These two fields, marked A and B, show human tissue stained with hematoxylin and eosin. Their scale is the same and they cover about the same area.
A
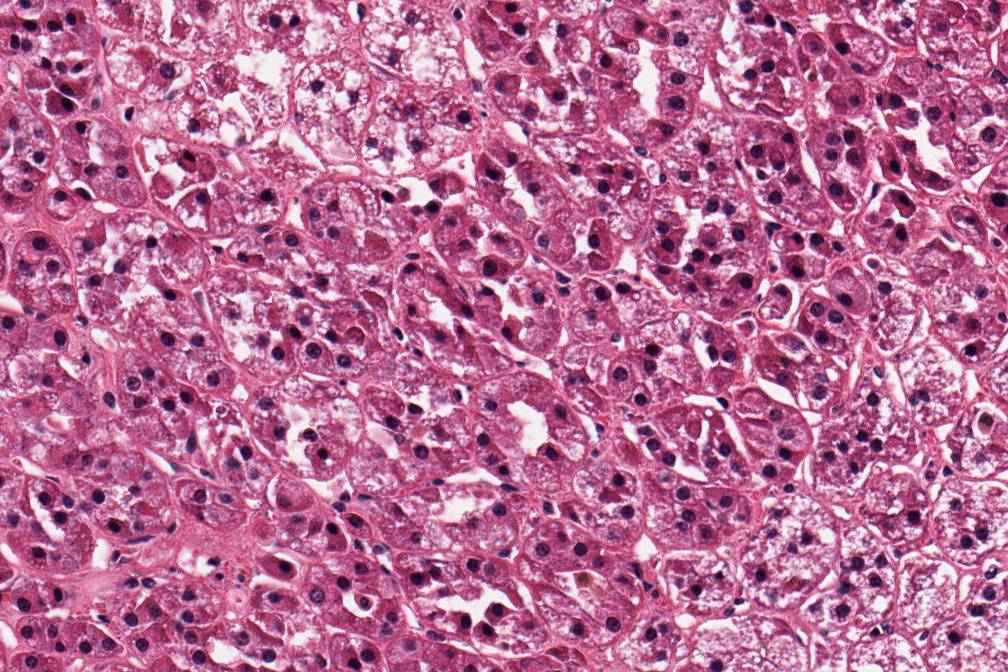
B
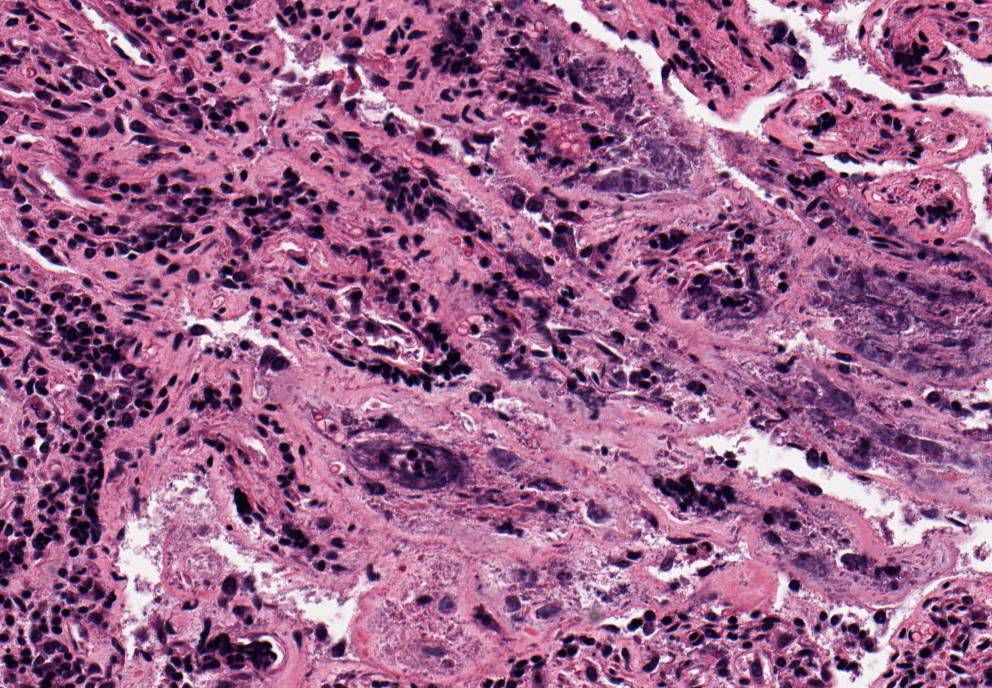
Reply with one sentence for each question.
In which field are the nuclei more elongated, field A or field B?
On the whole the nuclei of field B are more drawn out than those of field A.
